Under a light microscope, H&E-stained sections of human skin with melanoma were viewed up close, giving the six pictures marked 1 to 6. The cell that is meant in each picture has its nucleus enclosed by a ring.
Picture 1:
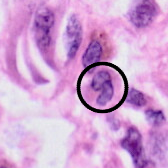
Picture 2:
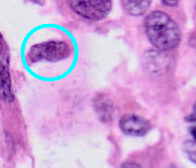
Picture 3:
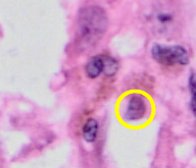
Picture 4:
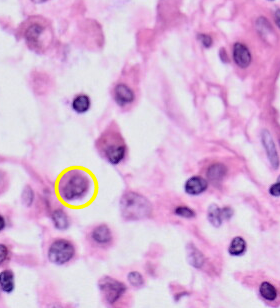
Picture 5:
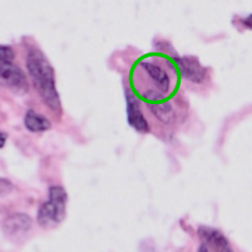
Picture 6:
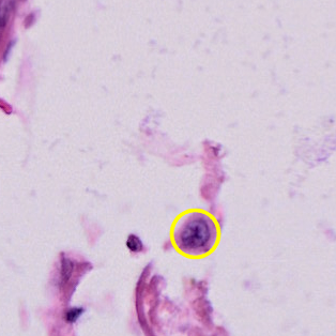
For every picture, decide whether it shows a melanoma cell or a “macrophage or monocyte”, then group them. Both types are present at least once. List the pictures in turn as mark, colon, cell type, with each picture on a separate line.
1: macrophage or monocyte
2: melanoma cell
3: macrophage or monocyte
4: macrophage or monocyte
5: melanoma cell
6: melanoma cell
